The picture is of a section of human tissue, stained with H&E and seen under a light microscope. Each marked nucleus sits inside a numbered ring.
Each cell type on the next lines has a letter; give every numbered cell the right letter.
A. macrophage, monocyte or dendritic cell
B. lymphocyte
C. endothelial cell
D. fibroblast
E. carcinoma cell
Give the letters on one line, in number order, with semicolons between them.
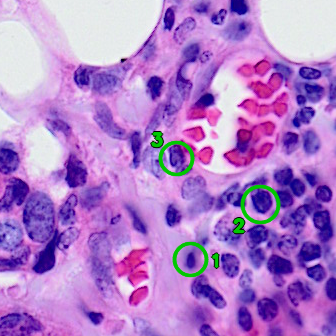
B; B; C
